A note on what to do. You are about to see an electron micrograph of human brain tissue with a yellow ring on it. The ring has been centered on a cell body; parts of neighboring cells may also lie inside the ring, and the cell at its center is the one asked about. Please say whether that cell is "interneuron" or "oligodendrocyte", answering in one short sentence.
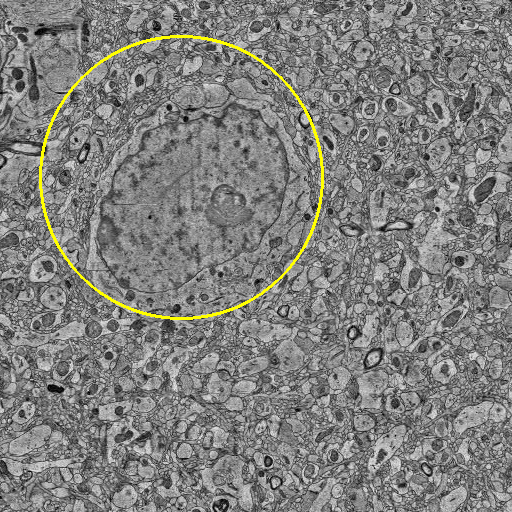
The yellow ring sits on an interneuron.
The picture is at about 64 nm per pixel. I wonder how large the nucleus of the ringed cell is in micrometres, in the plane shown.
Approximately 14 micrometres long and 10 micrometres wide, in this plane.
